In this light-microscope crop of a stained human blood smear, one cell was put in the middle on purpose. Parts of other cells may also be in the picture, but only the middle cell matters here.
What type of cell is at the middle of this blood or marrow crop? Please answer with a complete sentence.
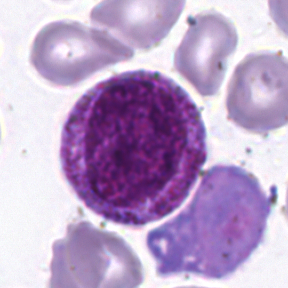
By classification, the middle cell of this crop is a myelocyte.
